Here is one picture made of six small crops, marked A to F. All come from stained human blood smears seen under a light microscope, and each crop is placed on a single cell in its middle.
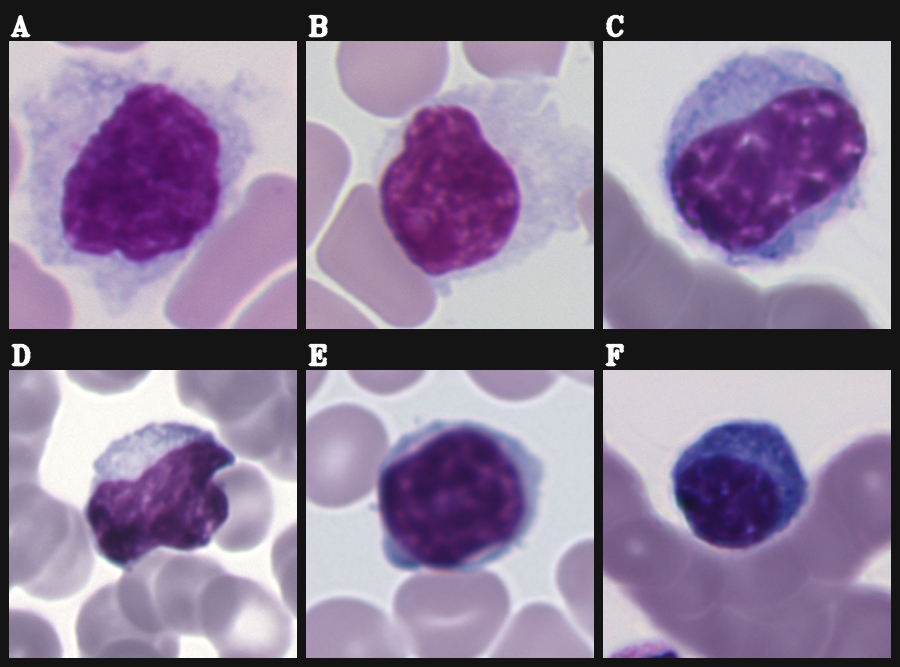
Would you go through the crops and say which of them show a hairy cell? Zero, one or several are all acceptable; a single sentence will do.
The cells being asked about in crops A and B are hairy cells.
